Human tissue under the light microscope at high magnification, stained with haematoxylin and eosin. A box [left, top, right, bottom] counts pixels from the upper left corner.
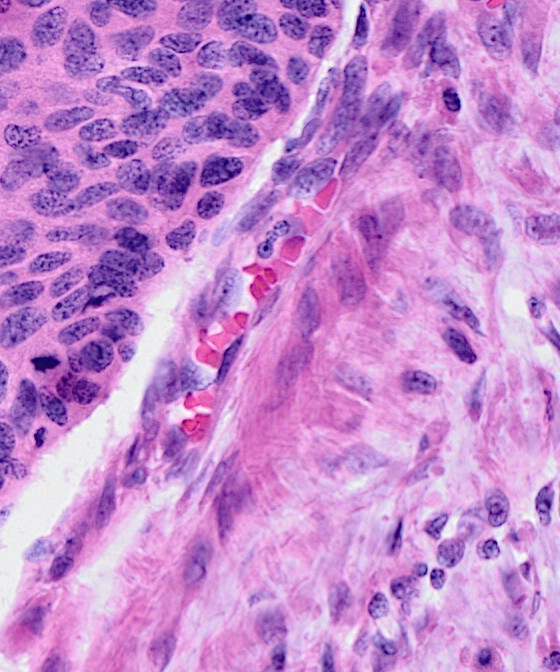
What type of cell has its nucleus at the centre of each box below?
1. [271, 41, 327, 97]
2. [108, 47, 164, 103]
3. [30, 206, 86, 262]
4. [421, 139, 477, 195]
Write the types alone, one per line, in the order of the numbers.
squamous carcinoma cell
squamous carcinoma cell
squamous carcinoma cell
fibroblast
